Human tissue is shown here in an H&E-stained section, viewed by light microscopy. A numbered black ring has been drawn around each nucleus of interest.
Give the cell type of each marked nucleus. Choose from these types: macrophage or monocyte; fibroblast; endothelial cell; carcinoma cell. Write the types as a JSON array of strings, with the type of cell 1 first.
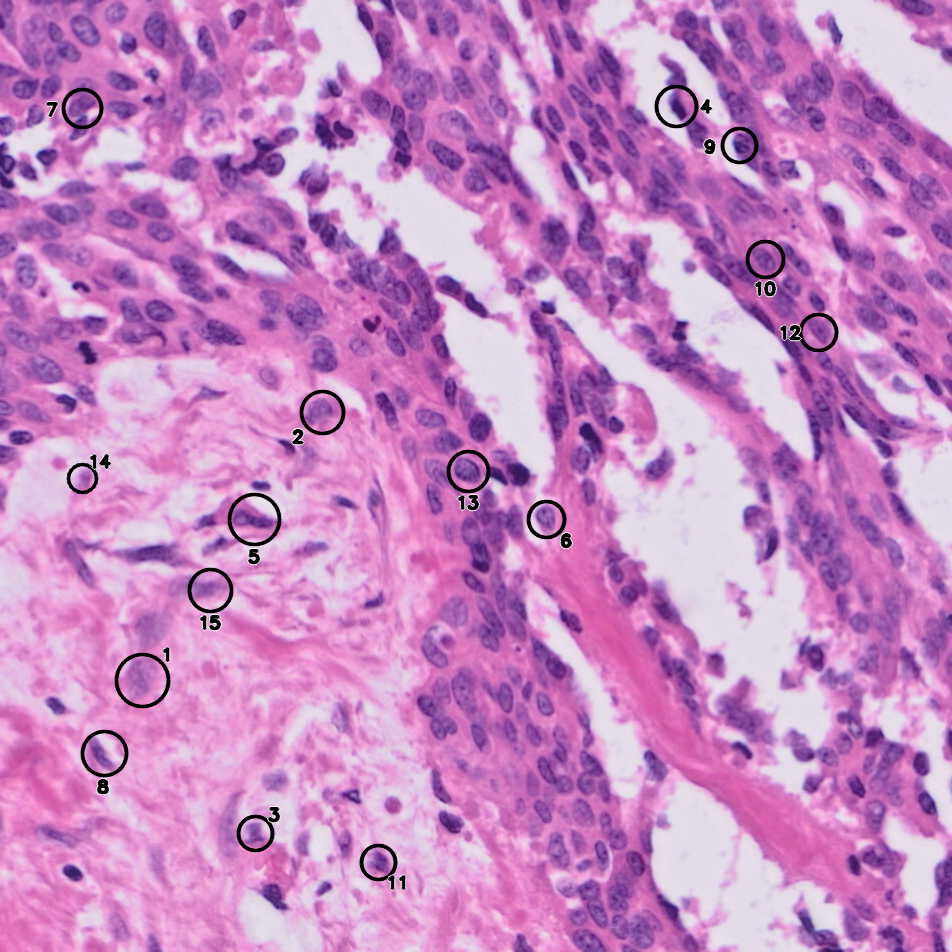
["fibroblast", "fibroblast", "fibroblast", "carcinoma cell", "endothelial cell", "macrophage or monocyte", "carcinoma cell", "fibroblast", "carcinoma cell", "carcinoma cell", "fibroblast", "carcinoma cell", "macrophage or monocyte", "fibroblast", "fibroblast"]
